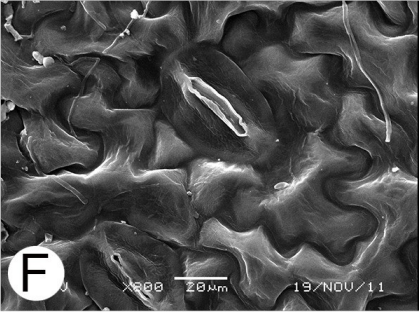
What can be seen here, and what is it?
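Surface view of leaf epidermis with irregular pavement cells bounded by sinuous walls. An obliquely set stoma with two guard cells and an open slit pore lies in the upper centre, with part of another stoma at the lower left. Fine threads and small particles lie scattered over the surface.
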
